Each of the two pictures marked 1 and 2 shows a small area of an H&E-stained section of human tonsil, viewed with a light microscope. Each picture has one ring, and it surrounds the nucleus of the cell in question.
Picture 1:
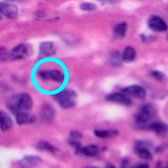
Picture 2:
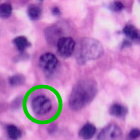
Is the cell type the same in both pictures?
no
